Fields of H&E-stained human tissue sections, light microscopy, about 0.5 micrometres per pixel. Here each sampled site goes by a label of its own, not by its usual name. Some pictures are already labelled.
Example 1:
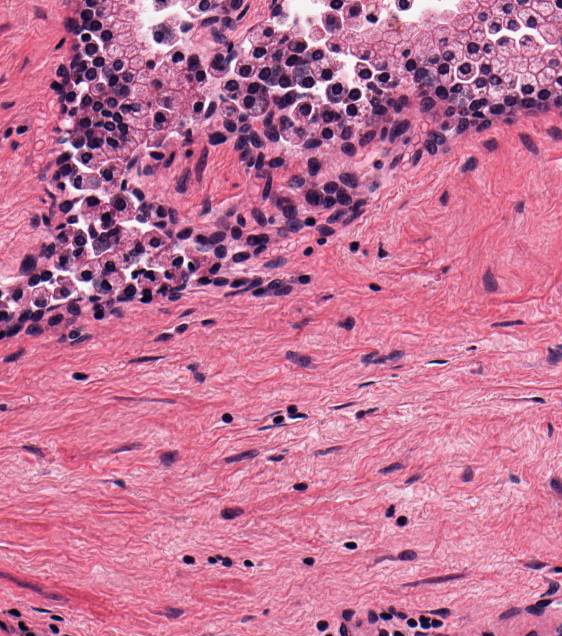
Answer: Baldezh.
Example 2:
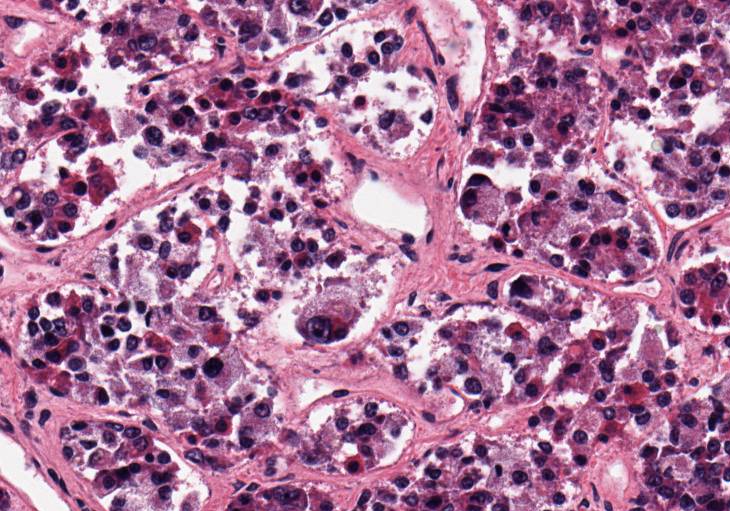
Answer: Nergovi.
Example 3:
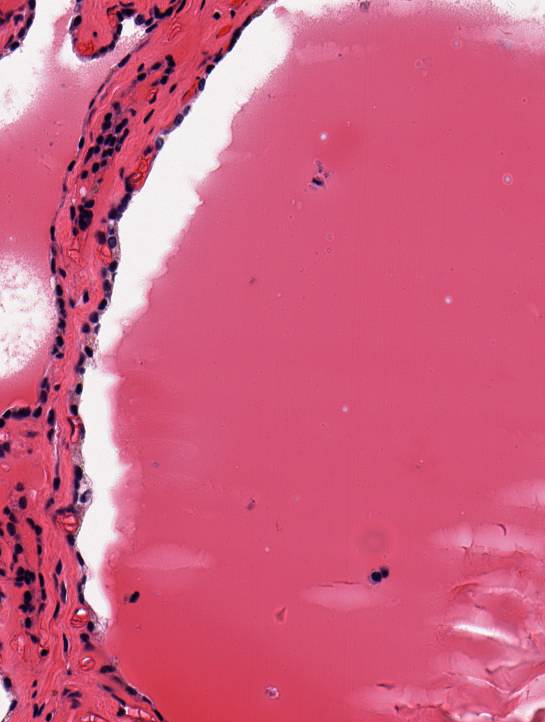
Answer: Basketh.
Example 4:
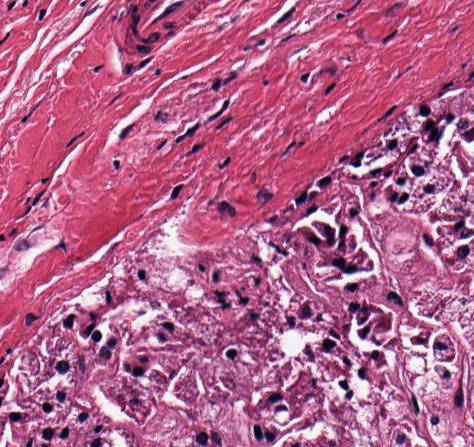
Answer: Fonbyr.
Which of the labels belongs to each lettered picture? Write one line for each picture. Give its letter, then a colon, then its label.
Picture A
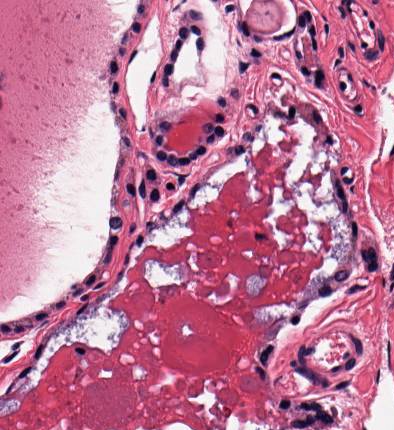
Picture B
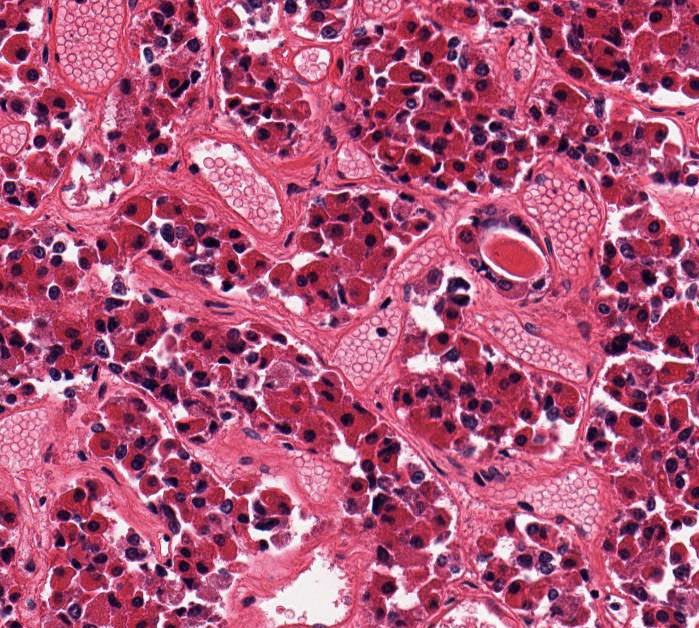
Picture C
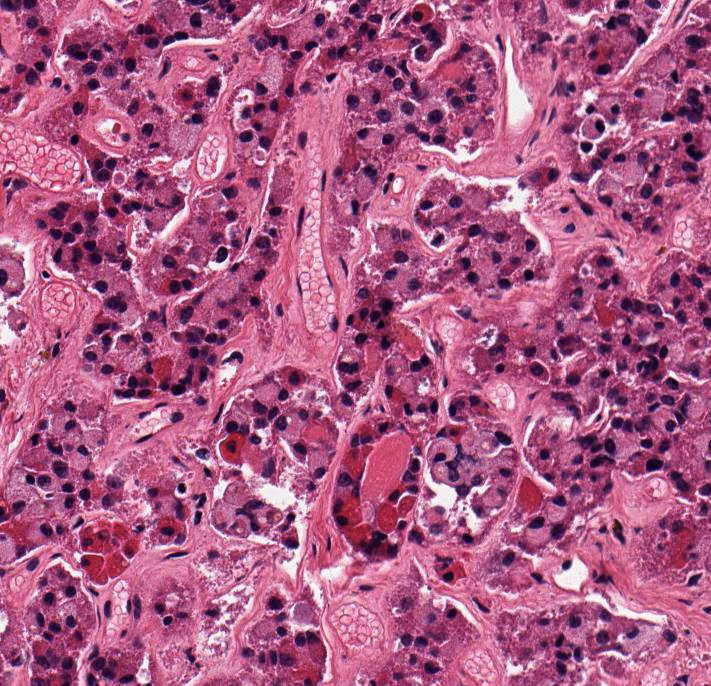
A: Basketh.
B: Nergovi.
C: Nergovi.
